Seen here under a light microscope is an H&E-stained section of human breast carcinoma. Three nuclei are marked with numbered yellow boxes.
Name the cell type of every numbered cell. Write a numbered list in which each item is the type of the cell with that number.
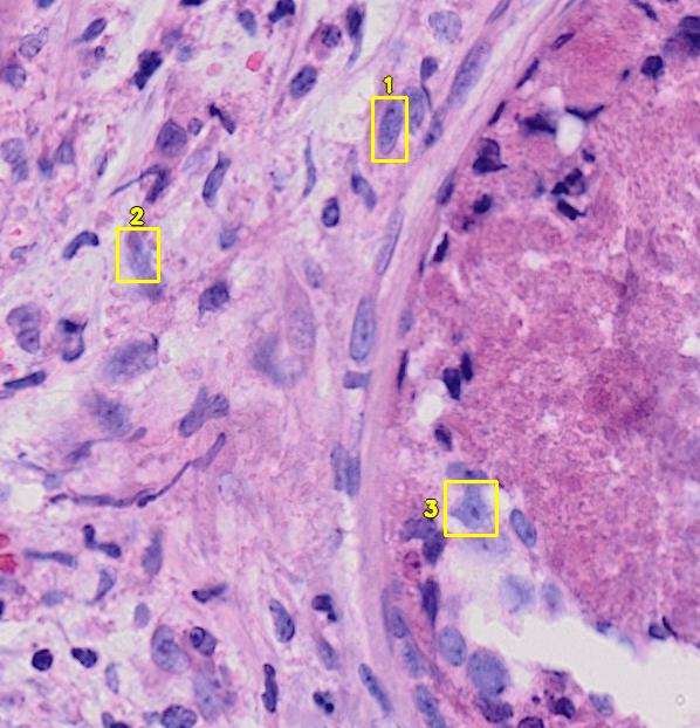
1. endothelial cell
2. fibroblast
3. carcinoma cell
